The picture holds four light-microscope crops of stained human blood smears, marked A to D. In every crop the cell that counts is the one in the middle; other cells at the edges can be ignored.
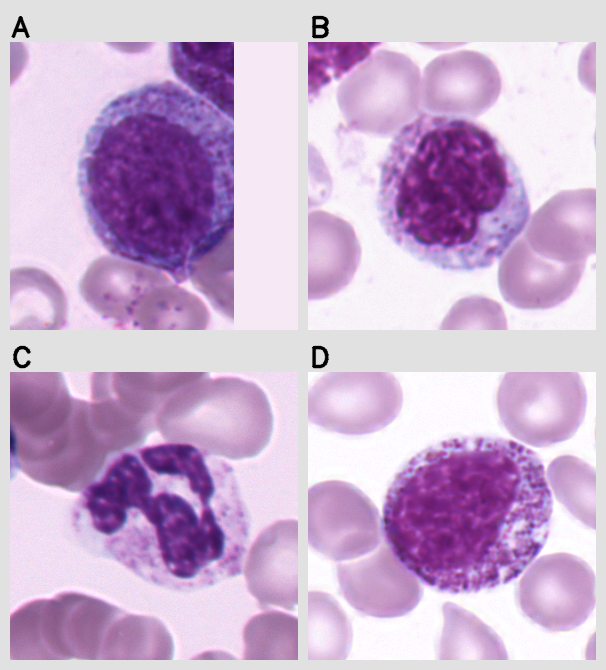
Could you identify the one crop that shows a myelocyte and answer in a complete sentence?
Crop D shows a myelocyte, and no other crop does.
